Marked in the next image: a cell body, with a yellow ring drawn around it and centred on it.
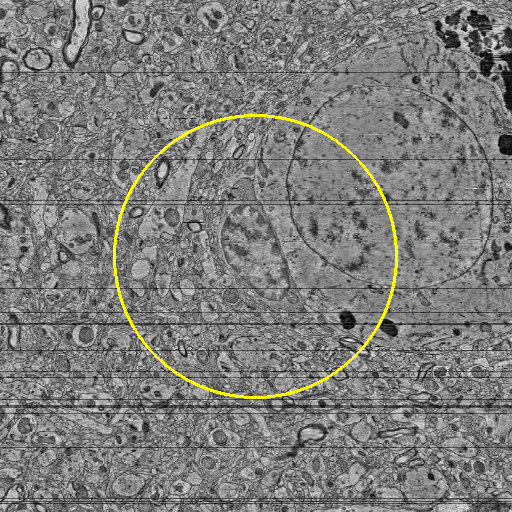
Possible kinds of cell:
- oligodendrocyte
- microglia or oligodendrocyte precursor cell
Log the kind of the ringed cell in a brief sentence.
The ringed cell body is that of an oligodendrocyte.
